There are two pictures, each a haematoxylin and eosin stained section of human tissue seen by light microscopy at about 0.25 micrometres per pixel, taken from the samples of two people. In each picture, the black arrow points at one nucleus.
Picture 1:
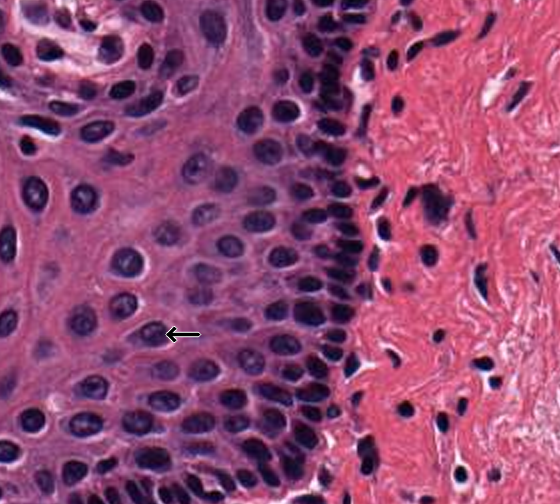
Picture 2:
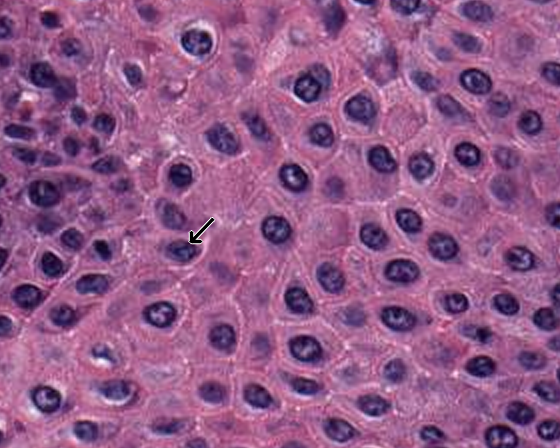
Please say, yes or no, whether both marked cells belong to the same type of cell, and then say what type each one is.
Yes, both are squamous epithelial cells.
